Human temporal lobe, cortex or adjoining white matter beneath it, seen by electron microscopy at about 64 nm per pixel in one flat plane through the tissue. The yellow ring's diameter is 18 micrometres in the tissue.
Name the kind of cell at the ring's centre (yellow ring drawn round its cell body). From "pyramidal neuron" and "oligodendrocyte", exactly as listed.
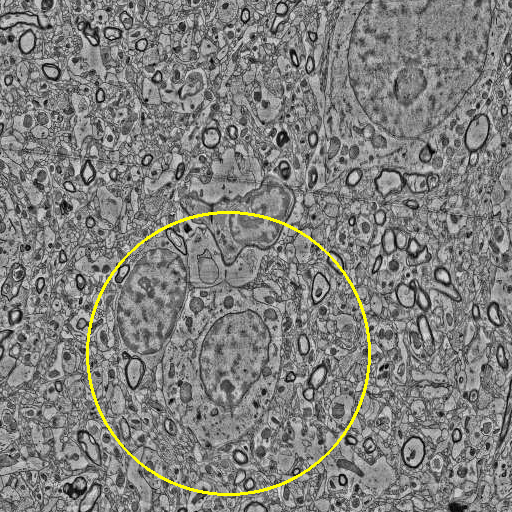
pyramidal neuron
